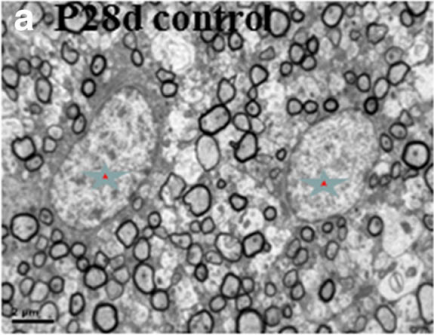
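This is white matter in cross-section with two oligodendrocytes lying among many myelinated axons. Each oligodendrocyte has a large, rounded to oval nucleus with finely granular chromatin and only a thin rim of cytoplasm. Around them the axons appear as round or oval pale profiles, each enclosed by a dark ring of myelin, densely and fairly regularly packed. Smaller pale profiles without dark rings fill the spaces between the myelinated fibres.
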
